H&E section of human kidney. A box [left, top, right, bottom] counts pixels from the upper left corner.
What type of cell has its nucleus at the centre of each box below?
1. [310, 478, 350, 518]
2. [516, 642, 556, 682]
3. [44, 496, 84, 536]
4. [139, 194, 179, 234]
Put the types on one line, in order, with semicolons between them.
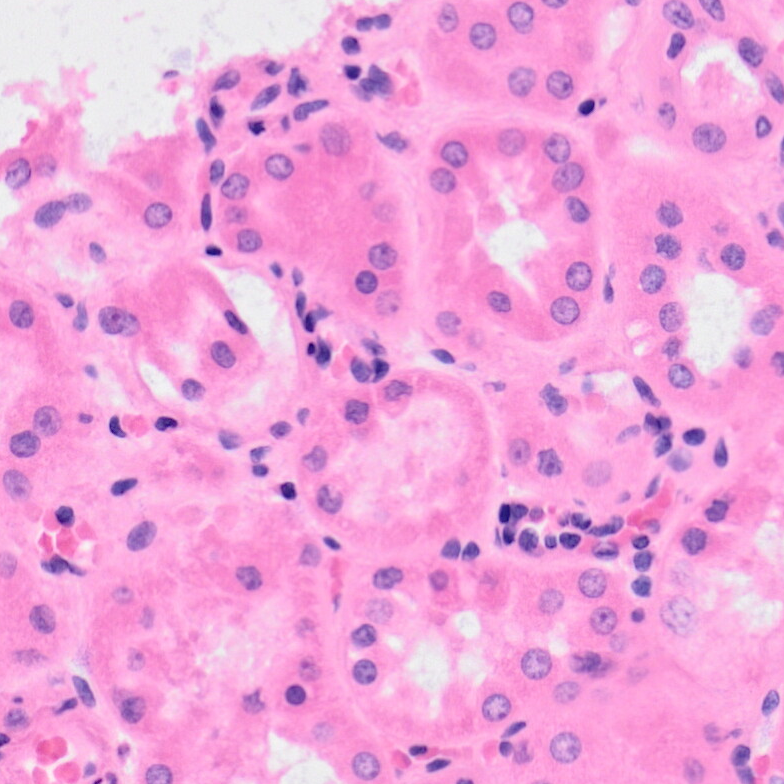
proximal tubule cell; proximal tubule cell; endothelial cell; proximal tubule cell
